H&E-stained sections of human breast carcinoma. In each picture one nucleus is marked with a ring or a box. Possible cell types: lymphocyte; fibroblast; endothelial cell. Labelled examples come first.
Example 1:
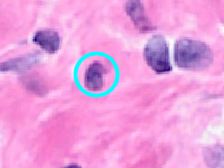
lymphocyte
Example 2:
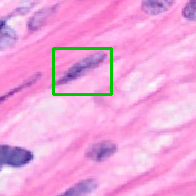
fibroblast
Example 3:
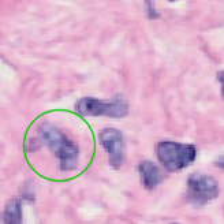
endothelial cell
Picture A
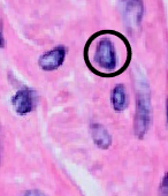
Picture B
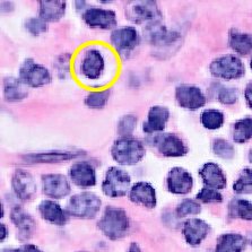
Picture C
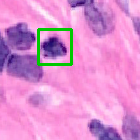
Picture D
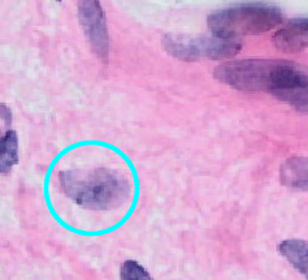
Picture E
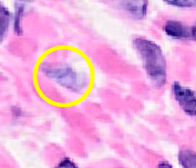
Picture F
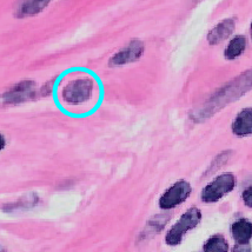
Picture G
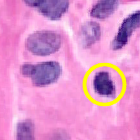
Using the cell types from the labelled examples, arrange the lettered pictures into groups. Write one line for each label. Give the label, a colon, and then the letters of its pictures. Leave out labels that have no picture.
lymphocyte: B, C, F, G
fibroblast: D, E
endothelial cell: A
